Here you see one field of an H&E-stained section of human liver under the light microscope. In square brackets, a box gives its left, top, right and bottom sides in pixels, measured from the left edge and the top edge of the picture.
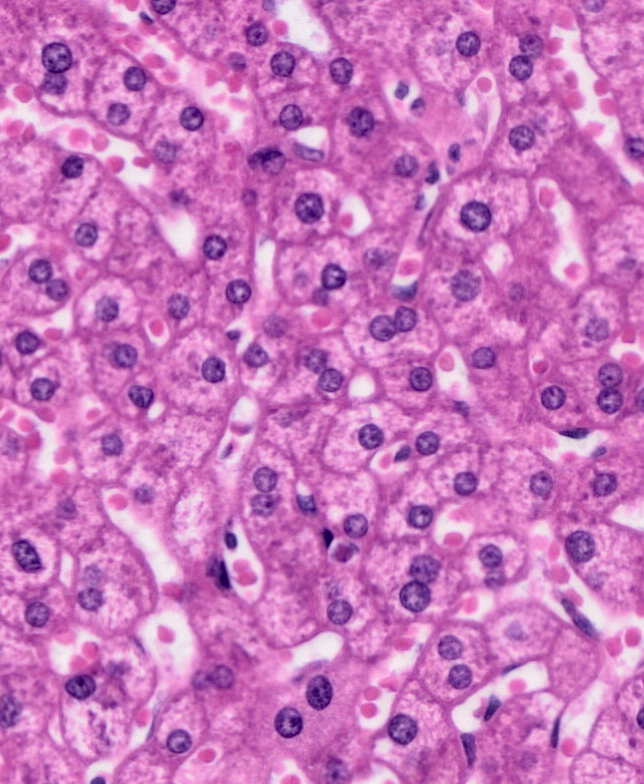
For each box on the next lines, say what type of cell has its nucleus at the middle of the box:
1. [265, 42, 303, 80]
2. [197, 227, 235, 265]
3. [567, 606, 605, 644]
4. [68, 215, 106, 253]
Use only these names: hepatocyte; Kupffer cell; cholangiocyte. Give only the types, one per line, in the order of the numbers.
hepatocyte
hepatocyte
Kupffer cell
hepatocyte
